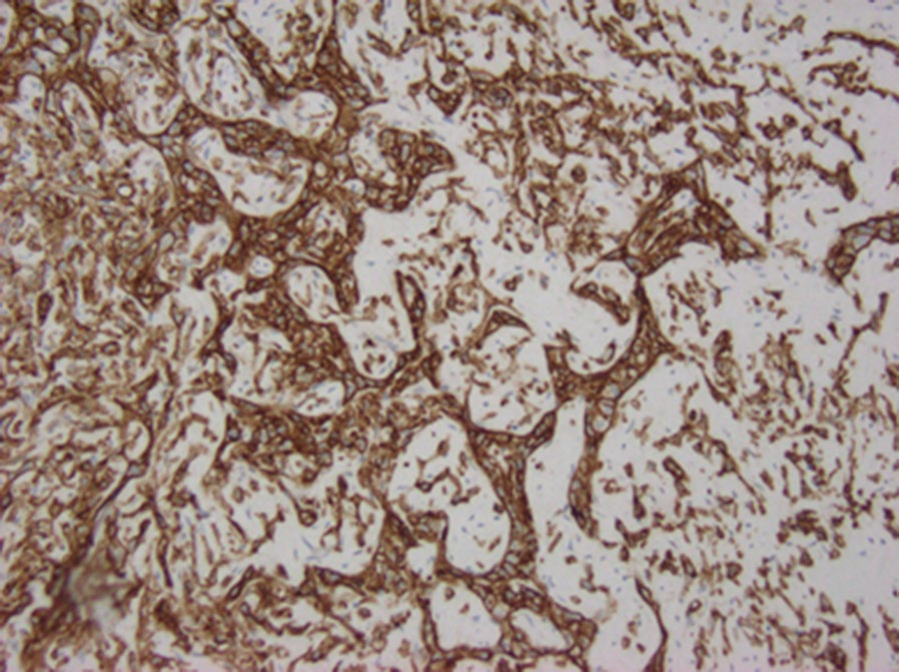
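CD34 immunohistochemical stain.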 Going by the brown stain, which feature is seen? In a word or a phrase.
Anastomosing cord-like architecture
